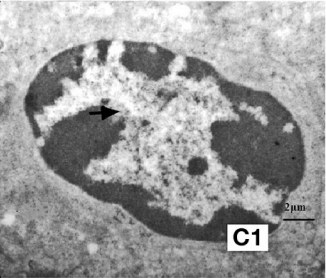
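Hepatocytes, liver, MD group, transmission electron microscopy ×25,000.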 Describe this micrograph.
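The nucleus is oval and fills most of the field. Its chromatin forms very dark, dense, irregular masses pressed against the nuclear envelope and bulging inward. The centre is pale and loosely granular. A small dark rounded body sits within the lower part of the nucleus. A thin rim of grey, finely granular cytoplasm surrounds the nucleus. The sharp contrast between black peripheral clumps and the clear centre is unlike the finely dispersed chromatin of a normal nucleus.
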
